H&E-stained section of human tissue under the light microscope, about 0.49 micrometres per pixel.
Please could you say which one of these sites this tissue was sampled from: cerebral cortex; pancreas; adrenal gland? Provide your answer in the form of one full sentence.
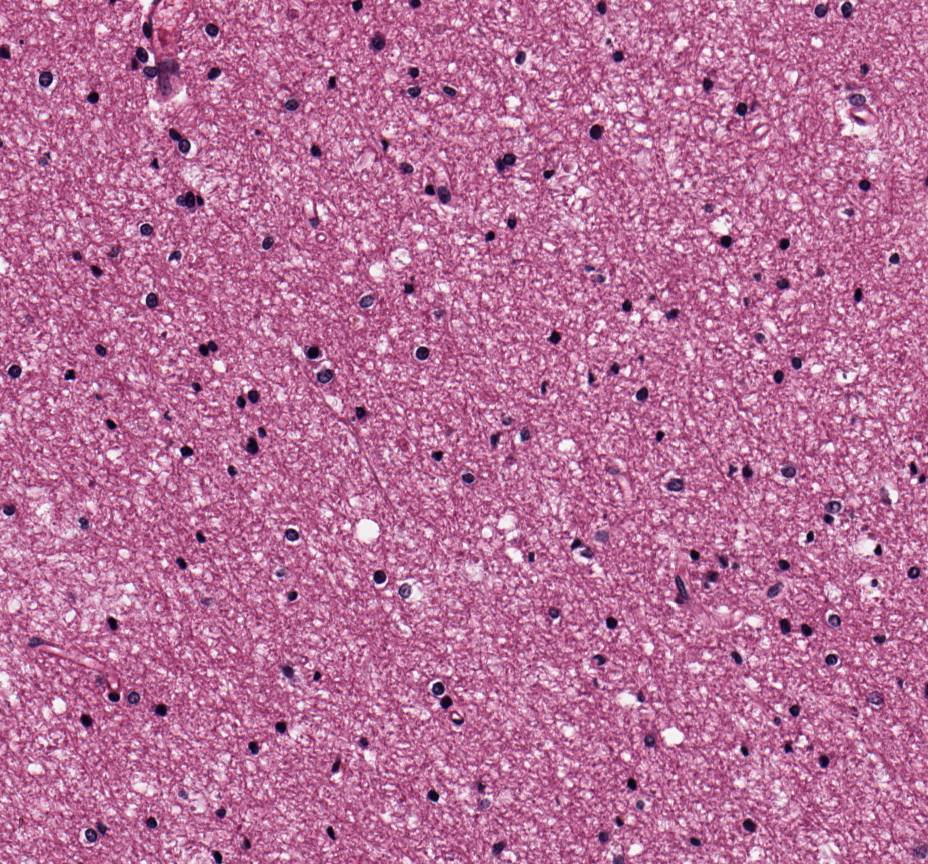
For this section, tissue was sampled from the cerebral cortex.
